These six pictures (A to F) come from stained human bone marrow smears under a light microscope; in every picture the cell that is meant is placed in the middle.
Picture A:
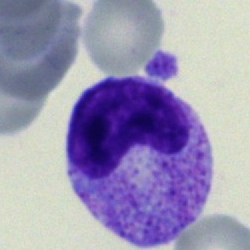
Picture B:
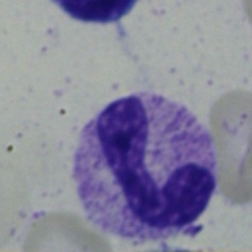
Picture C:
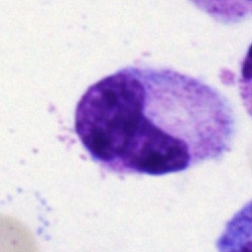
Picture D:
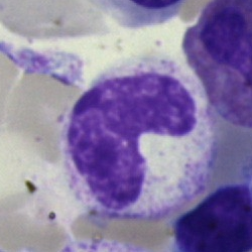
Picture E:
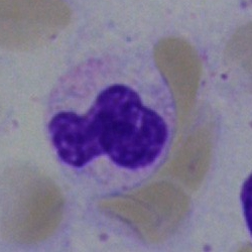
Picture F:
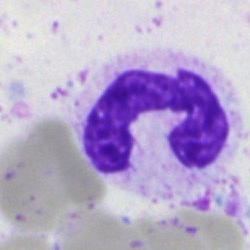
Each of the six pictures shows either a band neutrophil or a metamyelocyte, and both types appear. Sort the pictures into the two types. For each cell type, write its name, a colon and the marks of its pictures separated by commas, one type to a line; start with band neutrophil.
band neutrophil: B, D, E, F
metamyelocyte: A, C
